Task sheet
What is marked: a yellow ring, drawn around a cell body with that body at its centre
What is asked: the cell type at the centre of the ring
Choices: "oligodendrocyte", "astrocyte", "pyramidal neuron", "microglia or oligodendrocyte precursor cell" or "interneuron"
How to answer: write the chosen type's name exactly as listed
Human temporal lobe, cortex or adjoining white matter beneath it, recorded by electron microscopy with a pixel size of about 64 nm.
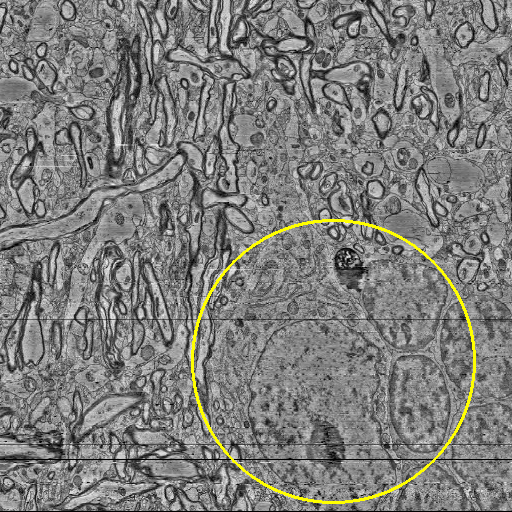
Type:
interneuron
